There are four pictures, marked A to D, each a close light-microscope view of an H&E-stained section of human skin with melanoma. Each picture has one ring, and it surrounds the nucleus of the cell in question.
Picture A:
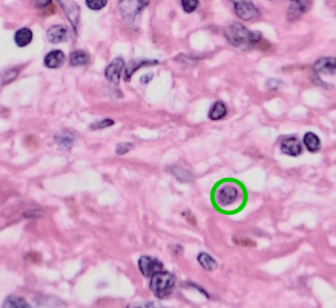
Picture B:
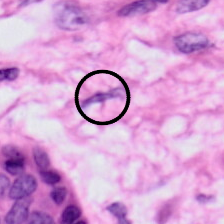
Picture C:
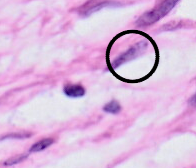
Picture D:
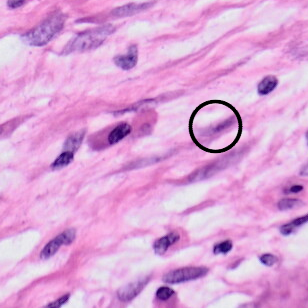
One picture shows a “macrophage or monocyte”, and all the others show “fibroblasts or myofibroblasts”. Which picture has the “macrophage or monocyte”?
A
